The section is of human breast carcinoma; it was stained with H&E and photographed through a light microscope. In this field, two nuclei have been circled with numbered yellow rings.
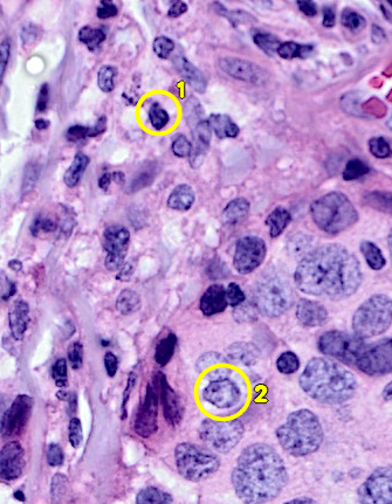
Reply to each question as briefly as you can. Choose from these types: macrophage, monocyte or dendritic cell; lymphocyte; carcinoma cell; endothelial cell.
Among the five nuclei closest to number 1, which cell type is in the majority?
macrophage, monocyte or dendritic cell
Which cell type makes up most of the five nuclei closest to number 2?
carcinoma cell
